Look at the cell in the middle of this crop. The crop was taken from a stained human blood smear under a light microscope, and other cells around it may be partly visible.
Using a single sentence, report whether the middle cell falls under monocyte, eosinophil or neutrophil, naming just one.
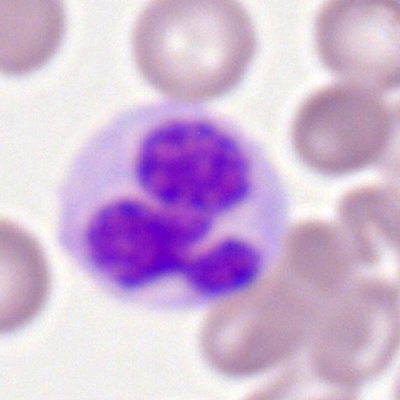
In this crop, the cell at the very middle is a monocyte.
